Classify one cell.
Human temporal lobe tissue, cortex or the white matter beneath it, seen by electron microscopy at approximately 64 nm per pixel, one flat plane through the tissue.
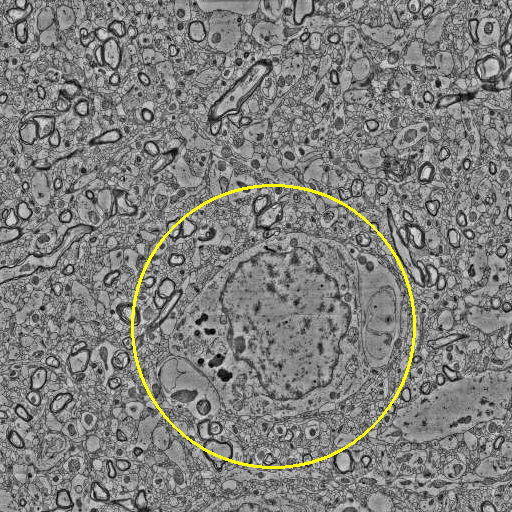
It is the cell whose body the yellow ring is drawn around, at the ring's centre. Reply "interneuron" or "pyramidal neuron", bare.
interneuron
